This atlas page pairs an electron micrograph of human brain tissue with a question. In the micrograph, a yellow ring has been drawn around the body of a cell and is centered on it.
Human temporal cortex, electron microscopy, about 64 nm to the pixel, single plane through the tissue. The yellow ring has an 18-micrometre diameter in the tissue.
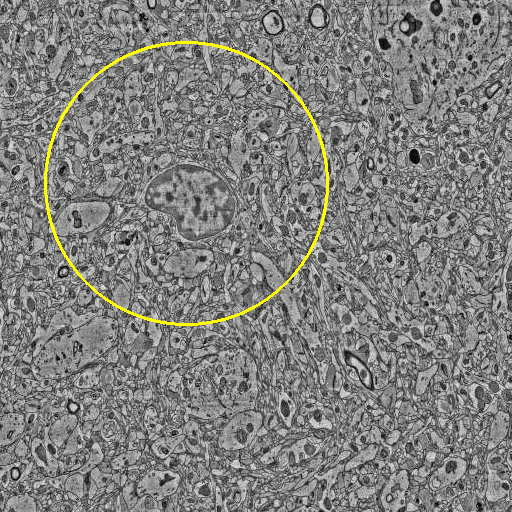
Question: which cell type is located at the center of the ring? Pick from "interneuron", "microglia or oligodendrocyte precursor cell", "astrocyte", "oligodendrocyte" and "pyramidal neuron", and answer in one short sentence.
Located at the center of the ring is a microglial cell or oligodendrocyte precursor cell.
